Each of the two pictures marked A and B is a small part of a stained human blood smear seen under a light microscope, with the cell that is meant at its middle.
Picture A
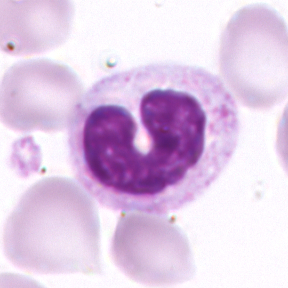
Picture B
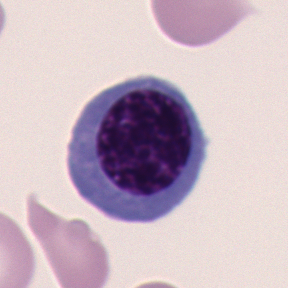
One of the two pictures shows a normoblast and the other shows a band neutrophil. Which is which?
A: band neutrophil
B: normoblast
